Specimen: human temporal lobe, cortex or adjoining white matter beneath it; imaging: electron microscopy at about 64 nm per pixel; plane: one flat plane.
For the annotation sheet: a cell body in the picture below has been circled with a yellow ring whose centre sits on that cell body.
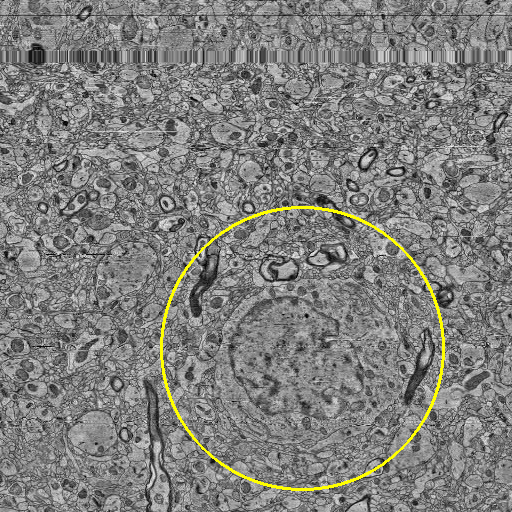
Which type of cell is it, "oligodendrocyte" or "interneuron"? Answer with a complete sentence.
The circled cell is an interneuron.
